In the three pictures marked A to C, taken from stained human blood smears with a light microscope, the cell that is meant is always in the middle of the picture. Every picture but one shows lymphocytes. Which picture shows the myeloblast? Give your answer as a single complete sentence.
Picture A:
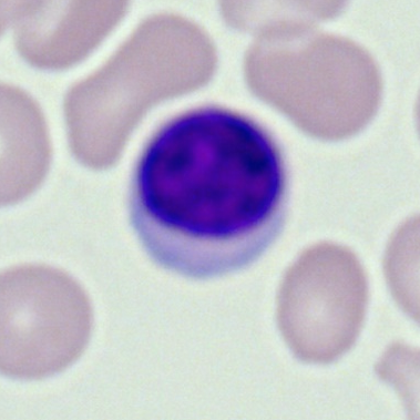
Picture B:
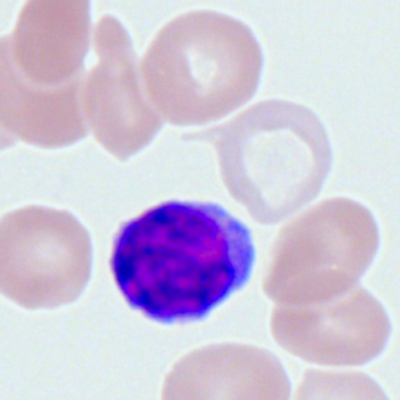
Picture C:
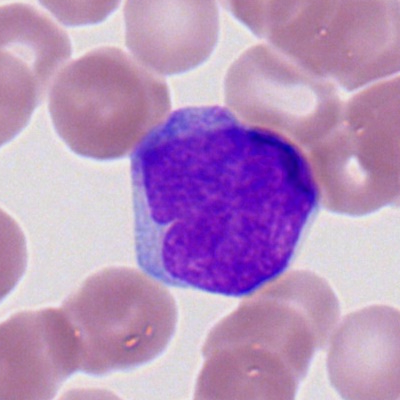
It is picture C that shows the myeloblast.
